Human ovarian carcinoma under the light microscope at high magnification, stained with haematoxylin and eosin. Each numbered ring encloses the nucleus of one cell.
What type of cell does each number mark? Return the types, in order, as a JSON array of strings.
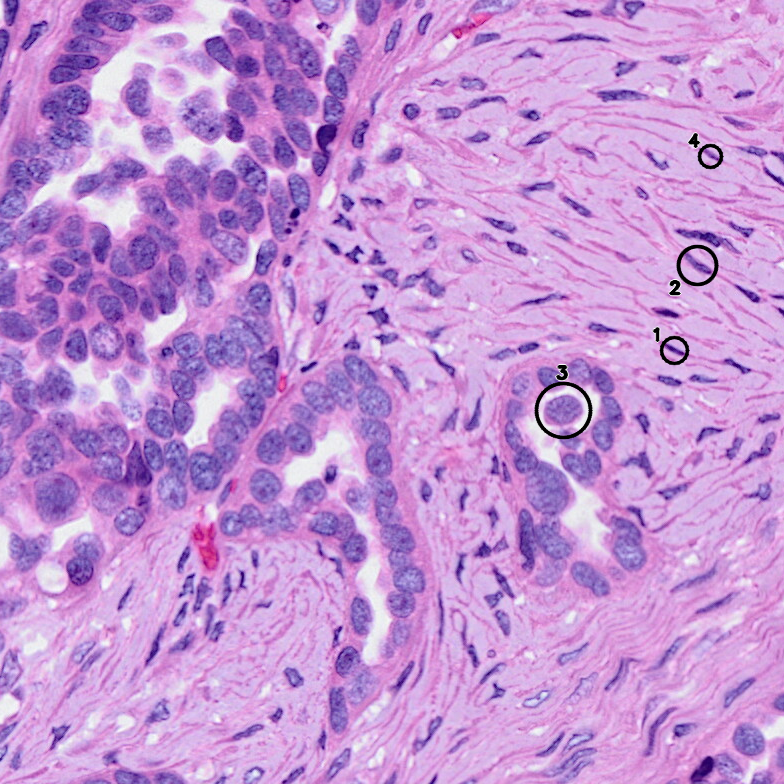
["fibroblast", "fibroblast", "carcinoma cell", "fibroblast"]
